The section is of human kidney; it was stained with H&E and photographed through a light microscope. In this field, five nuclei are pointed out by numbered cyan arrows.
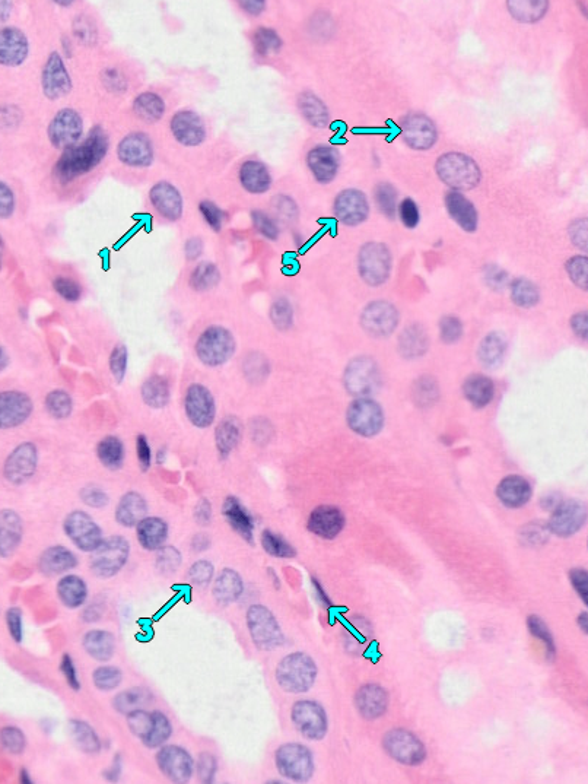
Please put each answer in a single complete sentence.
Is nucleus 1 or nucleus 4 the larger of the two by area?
Nucleus 1 is the larger one, covering about 2 times the area of nucleus 4.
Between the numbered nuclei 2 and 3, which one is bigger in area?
Of the two, number 2 is bigger and takes up about 2 times the area of number 3.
